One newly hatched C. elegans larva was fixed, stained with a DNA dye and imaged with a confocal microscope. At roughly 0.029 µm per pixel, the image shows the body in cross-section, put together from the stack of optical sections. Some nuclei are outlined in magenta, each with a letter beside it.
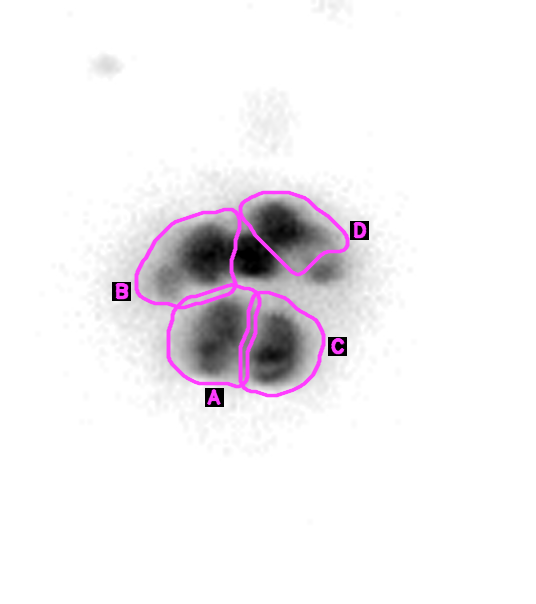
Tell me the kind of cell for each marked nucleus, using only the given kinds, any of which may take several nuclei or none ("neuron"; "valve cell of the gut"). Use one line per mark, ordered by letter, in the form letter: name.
A: valve cell of the gut
B: neuron
C: valve cell of the gut
D: neuron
